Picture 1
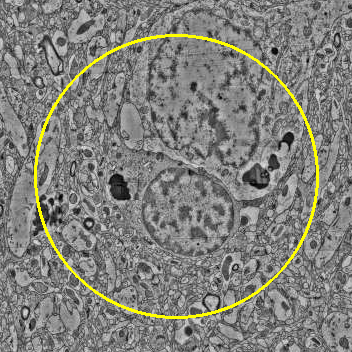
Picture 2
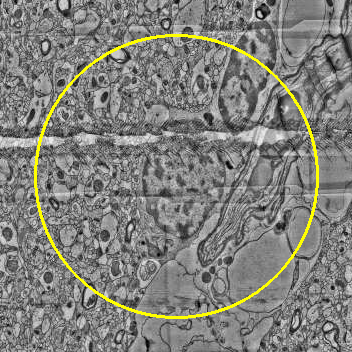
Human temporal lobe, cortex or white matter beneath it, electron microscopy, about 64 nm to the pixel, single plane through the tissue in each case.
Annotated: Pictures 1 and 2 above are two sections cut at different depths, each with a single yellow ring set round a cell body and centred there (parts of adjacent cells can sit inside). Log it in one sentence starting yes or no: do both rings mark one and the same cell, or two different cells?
No, two different cells appear inside the two yellow rings.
